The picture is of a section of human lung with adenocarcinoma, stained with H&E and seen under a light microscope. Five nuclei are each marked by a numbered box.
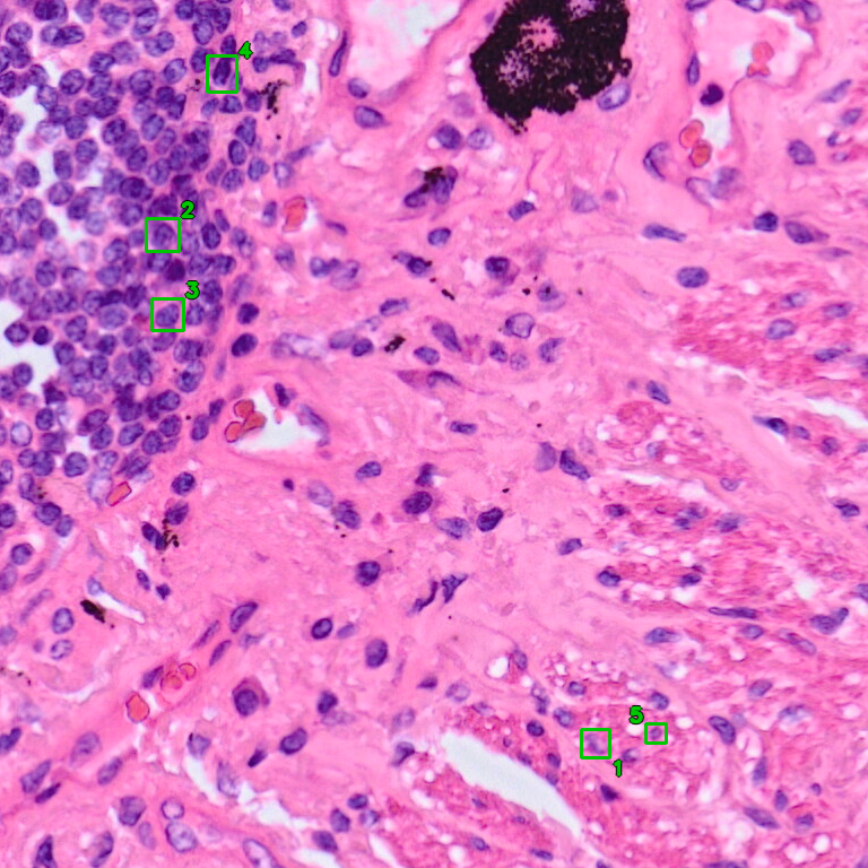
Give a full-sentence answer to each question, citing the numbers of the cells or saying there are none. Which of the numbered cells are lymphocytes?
Within the section, cells numbered 2, 3 and 4 are lymphocytes.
